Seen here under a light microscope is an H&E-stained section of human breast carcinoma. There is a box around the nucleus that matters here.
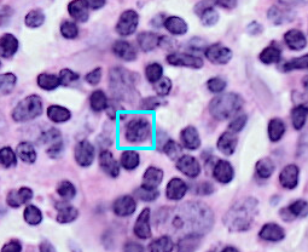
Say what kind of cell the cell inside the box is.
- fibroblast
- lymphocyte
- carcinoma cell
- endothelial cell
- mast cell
lymphocyte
